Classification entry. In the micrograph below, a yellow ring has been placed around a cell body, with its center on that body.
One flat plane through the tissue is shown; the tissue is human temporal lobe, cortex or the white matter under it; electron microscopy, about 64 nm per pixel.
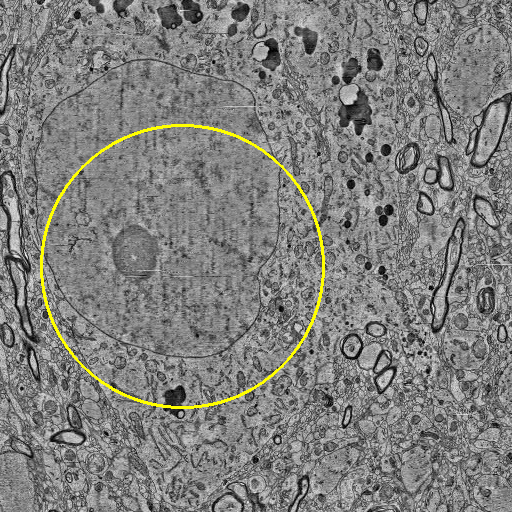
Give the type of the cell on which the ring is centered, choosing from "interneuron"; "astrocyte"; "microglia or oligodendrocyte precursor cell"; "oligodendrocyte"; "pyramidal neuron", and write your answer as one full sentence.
The cell body at the center of the yellow ring belongs to a pyramidal neuron.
